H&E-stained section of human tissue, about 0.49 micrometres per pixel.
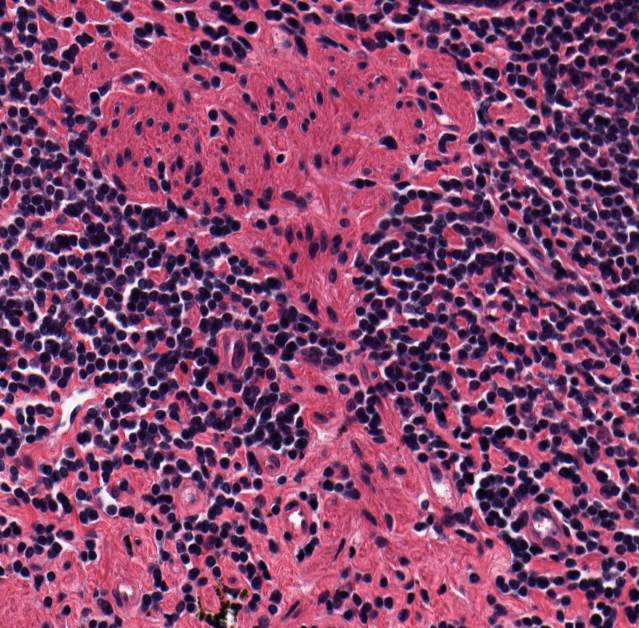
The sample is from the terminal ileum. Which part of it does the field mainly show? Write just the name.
lymphoid tissue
